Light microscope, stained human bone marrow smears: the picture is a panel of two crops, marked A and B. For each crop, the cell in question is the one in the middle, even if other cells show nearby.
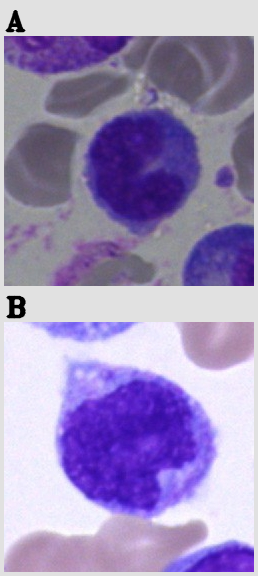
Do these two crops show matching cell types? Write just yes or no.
yes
